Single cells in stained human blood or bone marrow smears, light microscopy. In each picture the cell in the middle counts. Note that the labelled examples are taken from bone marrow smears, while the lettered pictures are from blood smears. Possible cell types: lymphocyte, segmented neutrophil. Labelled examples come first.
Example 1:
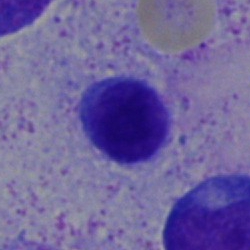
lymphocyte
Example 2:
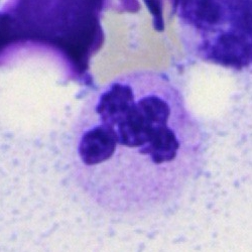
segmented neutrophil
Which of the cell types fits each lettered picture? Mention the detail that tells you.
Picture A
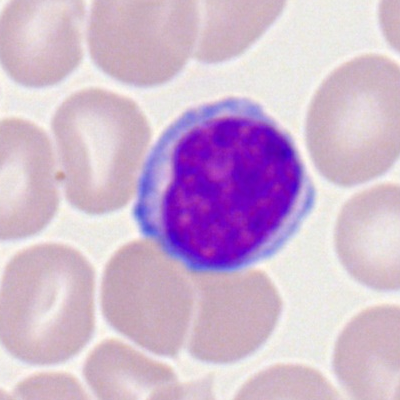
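lymphocyte. Evidence: The nucleus fills most of the cell.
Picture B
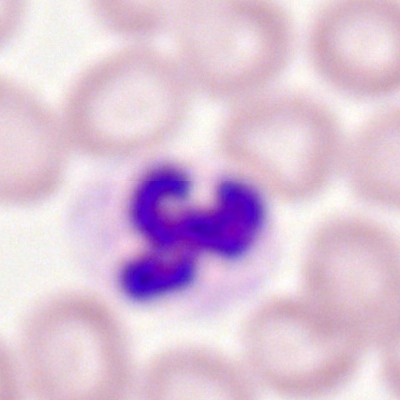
segmented neutrophil. Evidence: The nucleus is split into three lobes joined together.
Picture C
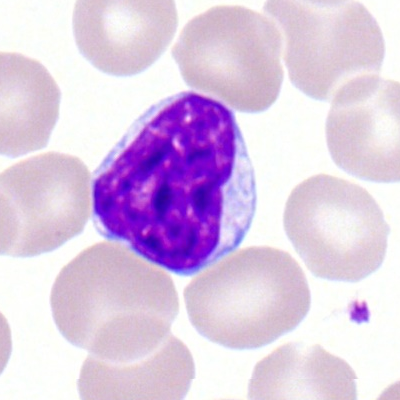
lymphocyte. Evidence: The nucleus fills most of the cell.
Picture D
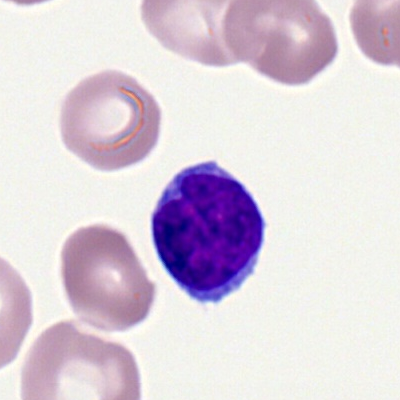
lymphocyte. Evidence: The nucleus fills almost the whole cell.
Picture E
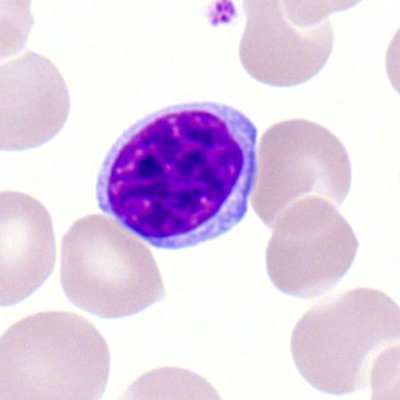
lymphocyte. Evidence: The cytoplasm forms only a thin rim around the nucleus.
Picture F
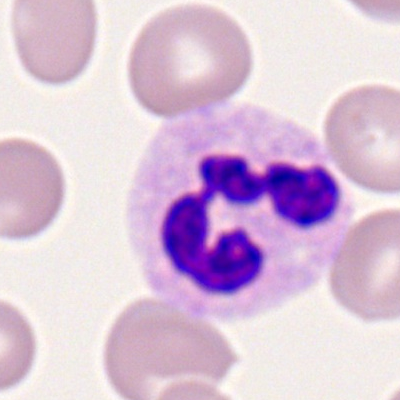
segmented neutrophil. Evidence: The cytoplasm is plentiful and pale pinkish-lilac.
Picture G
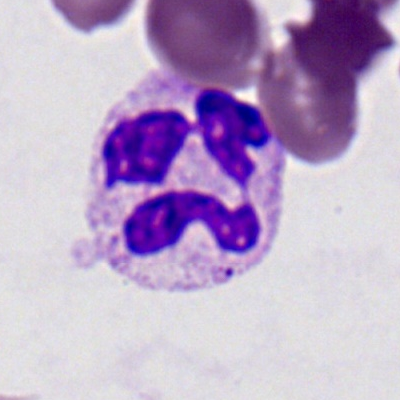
segmented neutrophil. Evidence: The cytoplasm is abundant and pale pinkish-lilac.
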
